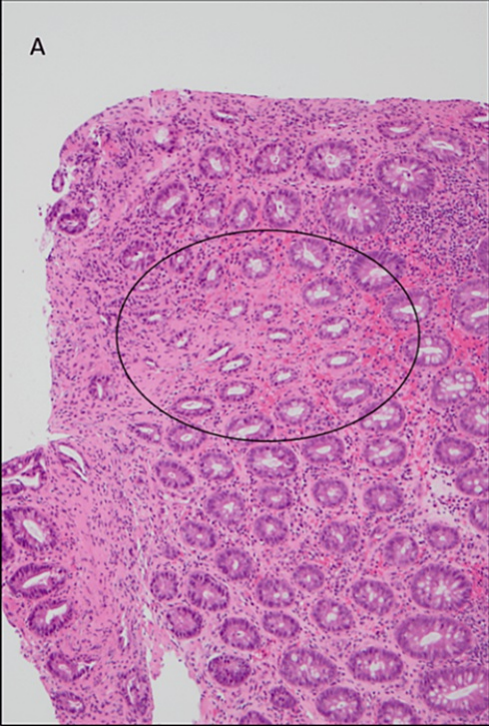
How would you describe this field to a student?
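This is colonic mucosa with many crypts cut in cross section, set in a pink lamina propria that holds scattered dark nuclei of stromal and inflammatory cells. In a central area the crypts are small, narrow and widely spaced, with more pale pink stroma between them. Above and below this area the crypts are larger, round and closely packed, lined by columnar epithelium with goblet cells. A little red blood lies in the stroma toward the right of the central area.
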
